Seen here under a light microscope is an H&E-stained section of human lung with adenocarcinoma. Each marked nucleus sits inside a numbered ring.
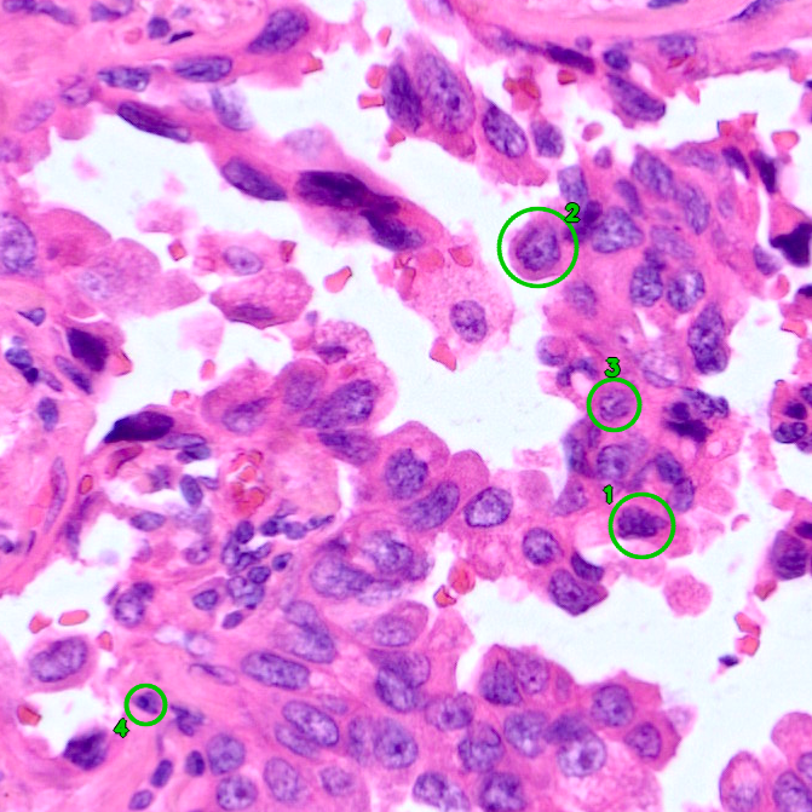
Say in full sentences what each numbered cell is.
Cell 1 is a carcinoma cell, cell 2 is a carcinoma cell, cell 3 is a carcinoma cell and cell 4 is a lymphocyte.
